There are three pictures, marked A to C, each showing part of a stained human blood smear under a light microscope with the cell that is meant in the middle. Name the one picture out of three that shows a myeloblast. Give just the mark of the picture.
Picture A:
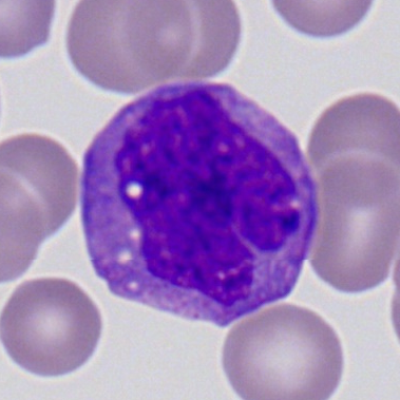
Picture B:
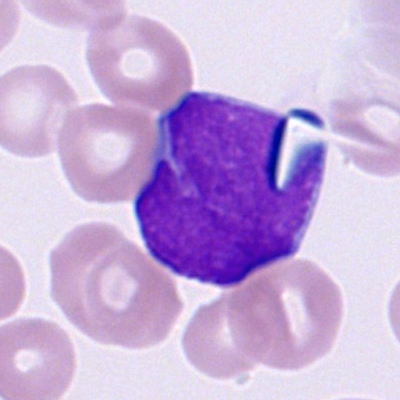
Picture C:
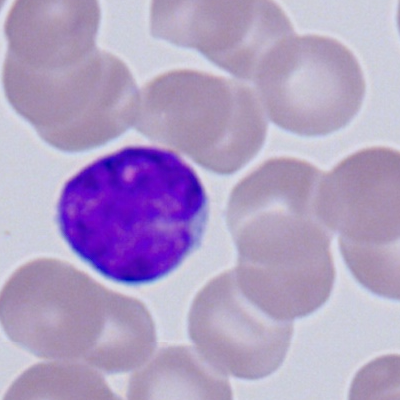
B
